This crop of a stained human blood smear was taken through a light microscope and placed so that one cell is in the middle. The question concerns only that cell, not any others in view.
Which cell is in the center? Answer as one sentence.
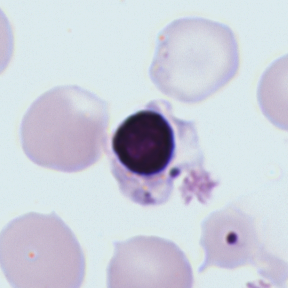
What sits at the centre of this crop is a normoblast.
